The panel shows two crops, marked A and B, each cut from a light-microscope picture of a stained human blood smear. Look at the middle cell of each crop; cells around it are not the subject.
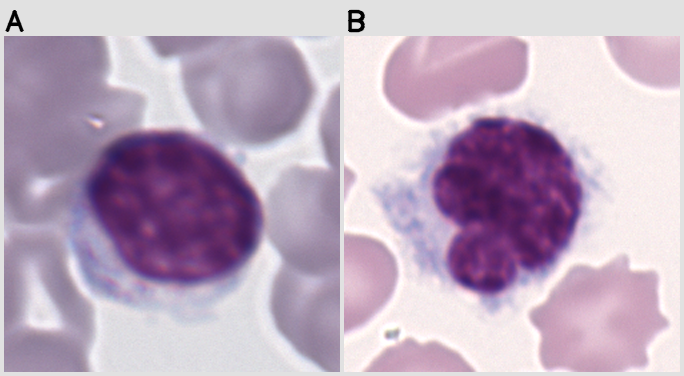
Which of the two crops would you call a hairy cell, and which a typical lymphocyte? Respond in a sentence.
Crop A corresponds to a typical lymphocyte, and crop B corresponds to a hairy cell.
